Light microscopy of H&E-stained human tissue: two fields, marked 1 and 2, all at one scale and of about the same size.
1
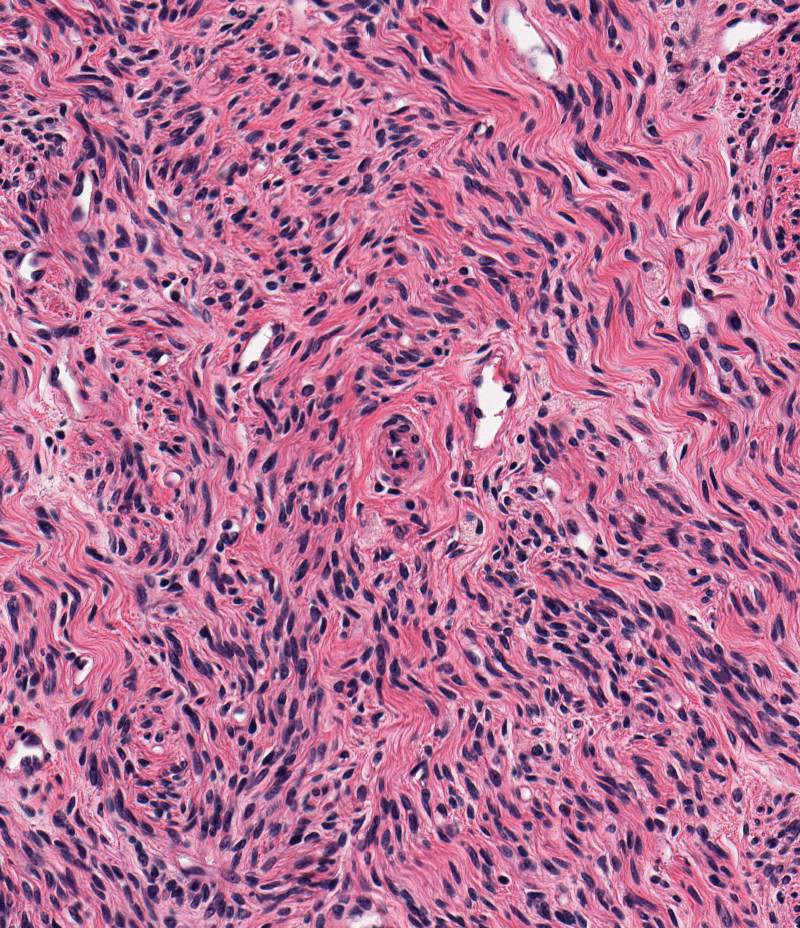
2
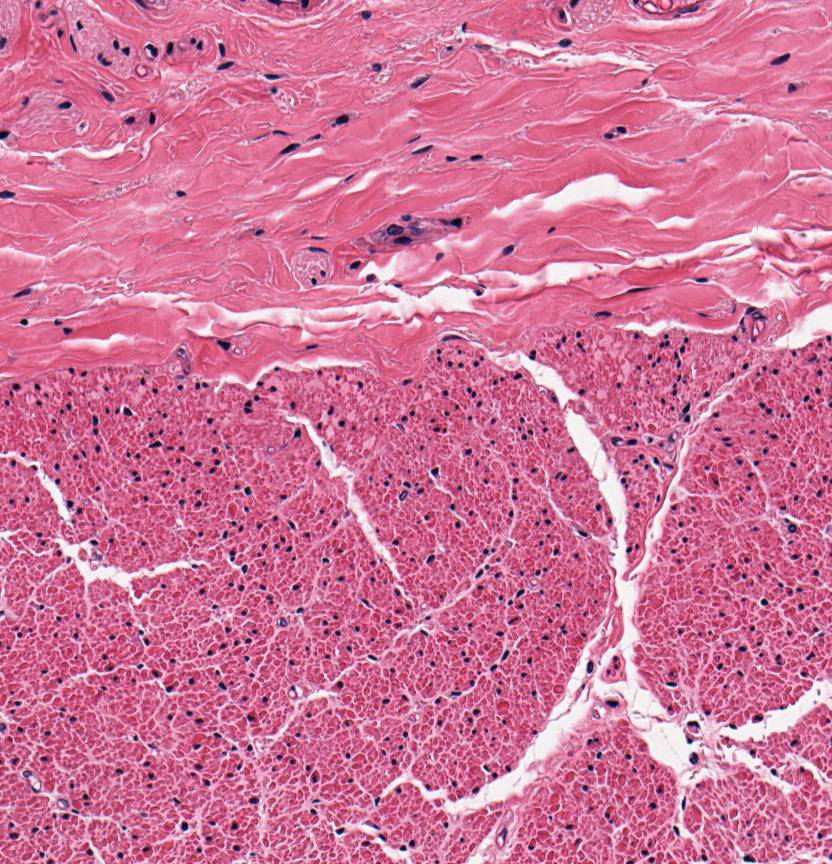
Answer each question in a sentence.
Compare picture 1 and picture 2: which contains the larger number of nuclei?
It is picture 1 that has more nuclei in it.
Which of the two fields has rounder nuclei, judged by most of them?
The nuclei are rounder in picture 2.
